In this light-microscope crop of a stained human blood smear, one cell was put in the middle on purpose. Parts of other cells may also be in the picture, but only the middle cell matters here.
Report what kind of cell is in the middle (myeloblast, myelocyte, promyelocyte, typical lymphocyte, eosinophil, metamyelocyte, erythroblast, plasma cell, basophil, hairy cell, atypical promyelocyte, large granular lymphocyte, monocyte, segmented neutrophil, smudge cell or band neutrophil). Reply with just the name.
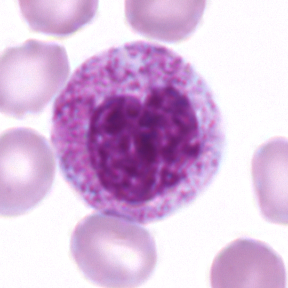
band neutrophil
